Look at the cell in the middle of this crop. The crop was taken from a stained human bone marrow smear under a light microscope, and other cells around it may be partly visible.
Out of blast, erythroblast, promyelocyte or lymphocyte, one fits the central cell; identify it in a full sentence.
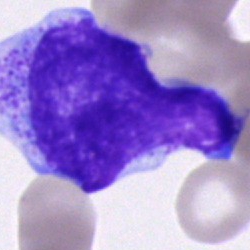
Where the crop is centred, there is a promyelocyte.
